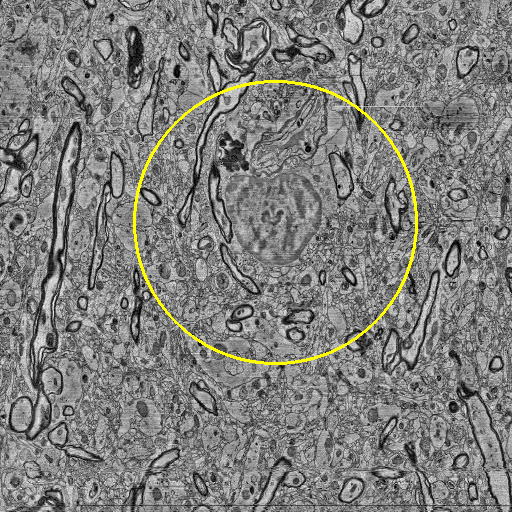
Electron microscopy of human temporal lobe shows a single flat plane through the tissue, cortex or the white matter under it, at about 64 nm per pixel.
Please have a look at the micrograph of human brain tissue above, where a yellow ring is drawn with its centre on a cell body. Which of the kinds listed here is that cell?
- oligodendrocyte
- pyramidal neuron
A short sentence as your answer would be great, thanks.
At the centre of the ring sits an oligodendrocyte.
